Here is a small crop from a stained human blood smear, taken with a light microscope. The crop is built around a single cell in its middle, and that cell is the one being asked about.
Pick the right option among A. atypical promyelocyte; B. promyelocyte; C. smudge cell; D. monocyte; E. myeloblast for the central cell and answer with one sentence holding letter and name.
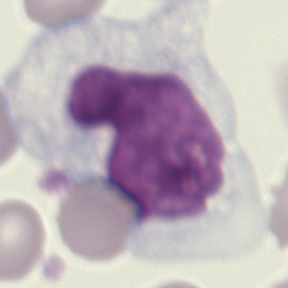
The cell at the heart of the crop is a monocyte, so choose option D.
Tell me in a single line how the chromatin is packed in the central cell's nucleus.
The chromatin is fine, with no coarse clumping anywhere.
